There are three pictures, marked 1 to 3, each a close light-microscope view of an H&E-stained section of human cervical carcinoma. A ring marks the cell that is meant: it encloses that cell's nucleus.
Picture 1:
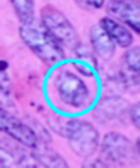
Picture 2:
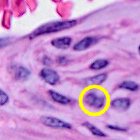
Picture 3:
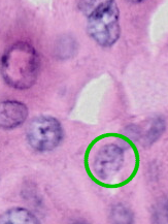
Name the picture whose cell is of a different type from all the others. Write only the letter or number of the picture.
2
